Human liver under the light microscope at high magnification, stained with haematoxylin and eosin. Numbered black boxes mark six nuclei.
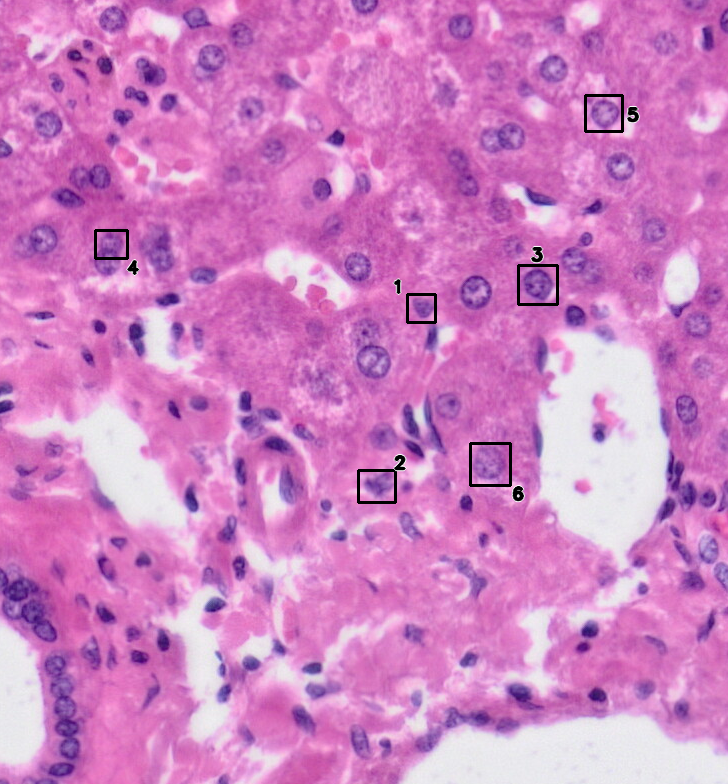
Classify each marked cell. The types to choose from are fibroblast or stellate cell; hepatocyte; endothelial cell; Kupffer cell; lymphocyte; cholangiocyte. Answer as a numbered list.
1. fibroblast or stellate cell
2. fibroblast or stellate cell
3. hepatocyte
4. hepatocyte
5. hepatocyte
6. hepatocyte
